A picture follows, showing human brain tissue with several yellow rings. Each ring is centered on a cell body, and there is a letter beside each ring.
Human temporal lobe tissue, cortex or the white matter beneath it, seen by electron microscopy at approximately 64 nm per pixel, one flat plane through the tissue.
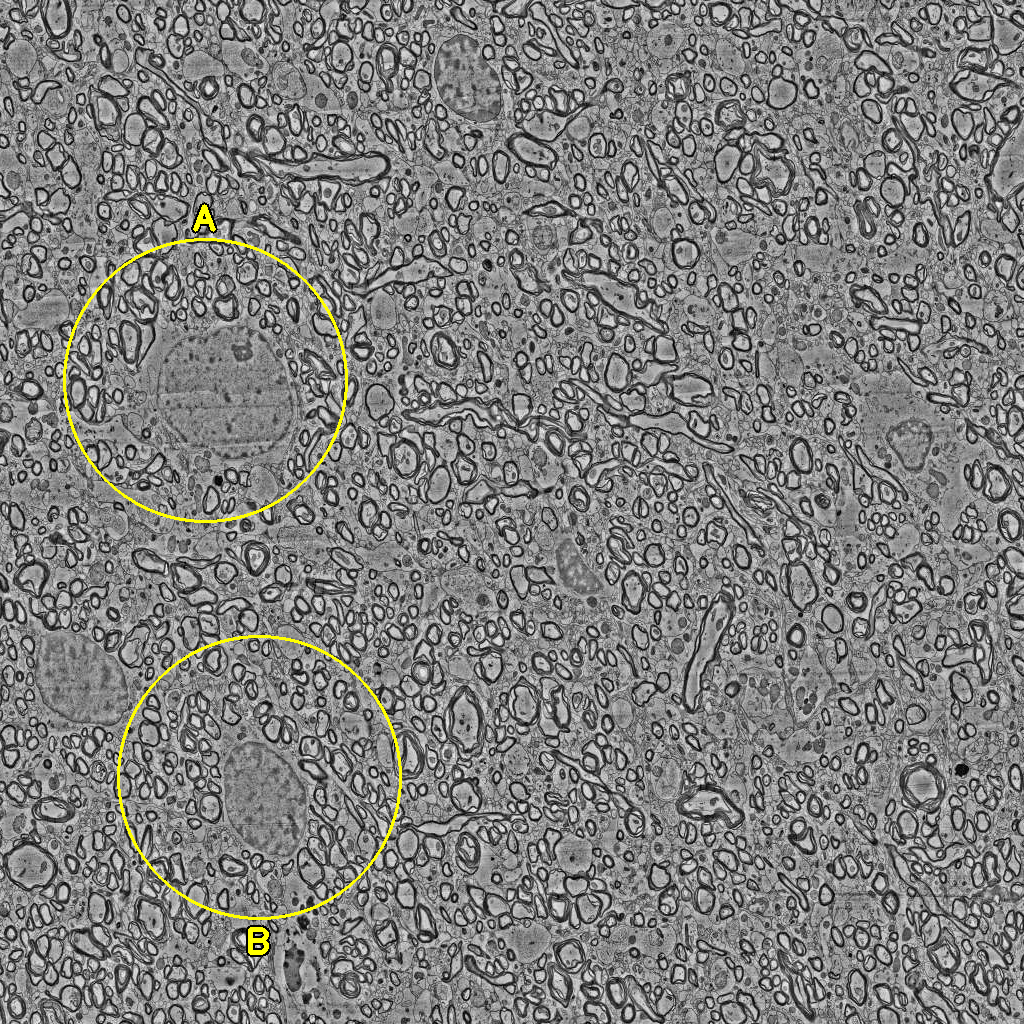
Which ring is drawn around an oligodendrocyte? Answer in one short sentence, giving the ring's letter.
Ring B is drawn around it.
